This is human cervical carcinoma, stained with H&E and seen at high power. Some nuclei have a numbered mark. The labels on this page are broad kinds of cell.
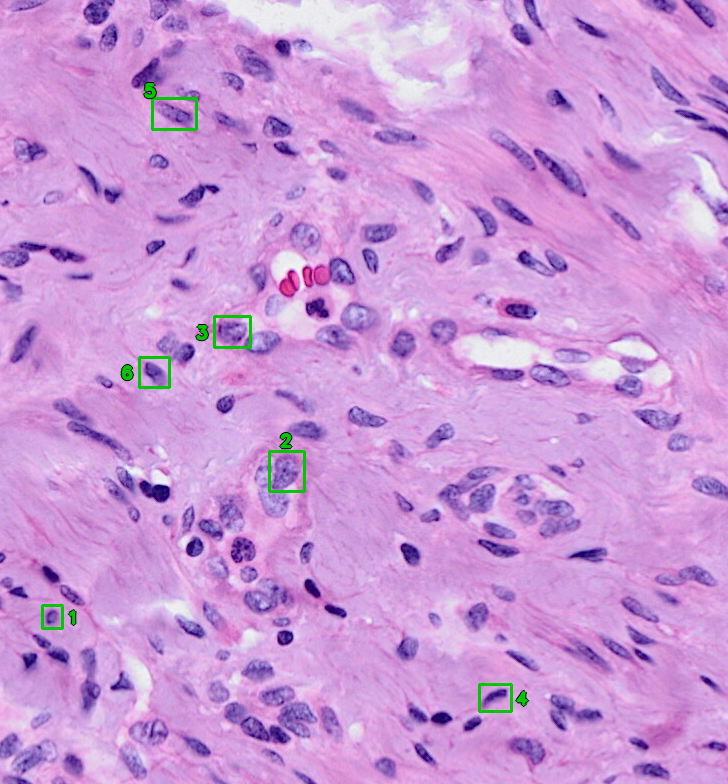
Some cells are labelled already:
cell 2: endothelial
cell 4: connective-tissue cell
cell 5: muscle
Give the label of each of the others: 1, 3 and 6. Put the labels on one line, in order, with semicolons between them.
connective-tissue cell; endothelial; connective-tissue cell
